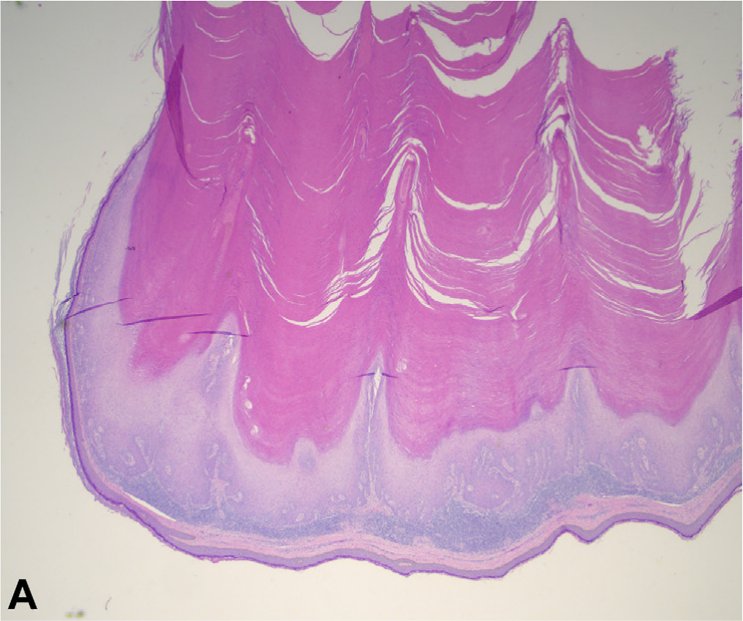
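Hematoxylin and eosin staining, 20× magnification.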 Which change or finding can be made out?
invaginated hyperkeratosis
